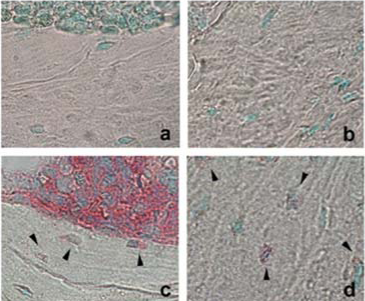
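These are sections of bone, with small osteocytes lying singly and well spaced within the pale, faintly textured matrix, their nuclei picked out blue-green by the counterstain. In the lower images several of these embedded cells also carry a reddish-purple label, while in the upper images the embedded cells show only the blue-green nuclear stain. One lower image also has a densely cellular region at its edge that is heavily stained red.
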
